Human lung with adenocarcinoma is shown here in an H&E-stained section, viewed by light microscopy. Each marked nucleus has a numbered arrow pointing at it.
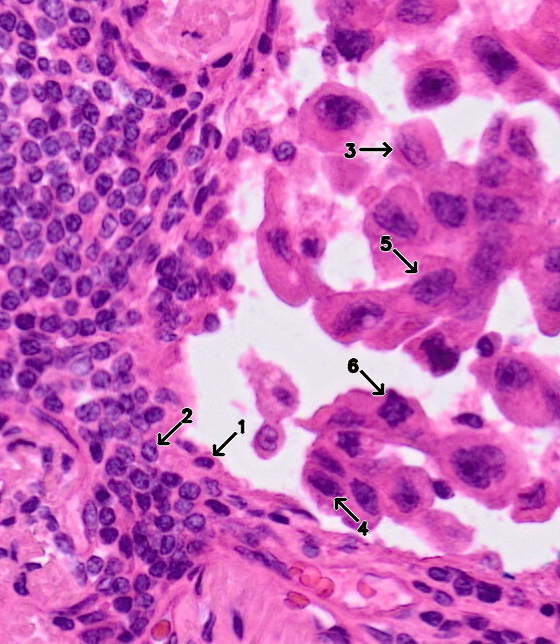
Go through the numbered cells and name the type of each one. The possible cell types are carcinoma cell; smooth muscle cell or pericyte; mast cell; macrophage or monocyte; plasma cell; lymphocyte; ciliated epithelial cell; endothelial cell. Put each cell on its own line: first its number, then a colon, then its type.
1: lymphocyte
2: lymphocyte
3: carcinoma cell
4: carcinoma cell
5: carcinoma cell
6: carcinoma cell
